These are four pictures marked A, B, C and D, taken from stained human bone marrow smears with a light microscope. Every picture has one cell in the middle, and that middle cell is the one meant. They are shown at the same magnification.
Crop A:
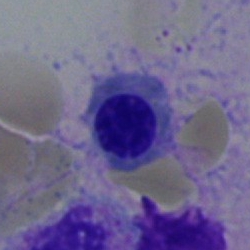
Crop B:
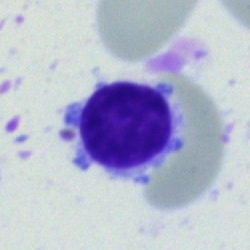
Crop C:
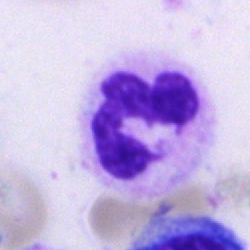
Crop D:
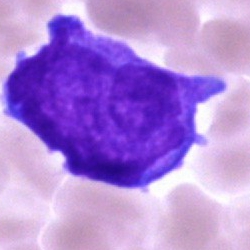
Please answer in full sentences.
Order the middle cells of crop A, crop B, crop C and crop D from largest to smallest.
Largest first: D, C, B, A.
